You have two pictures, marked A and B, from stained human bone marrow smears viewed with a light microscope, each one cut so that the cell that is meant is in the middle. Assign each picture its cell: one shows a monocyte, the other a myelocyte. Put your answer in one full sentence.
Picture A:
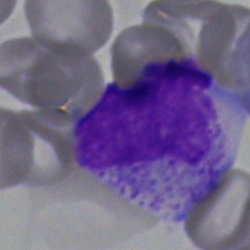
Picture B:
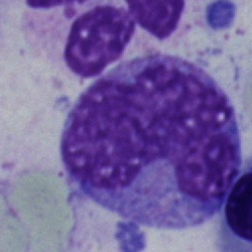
Picture A is of a myelocyte, and picture B is of a monocyte.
